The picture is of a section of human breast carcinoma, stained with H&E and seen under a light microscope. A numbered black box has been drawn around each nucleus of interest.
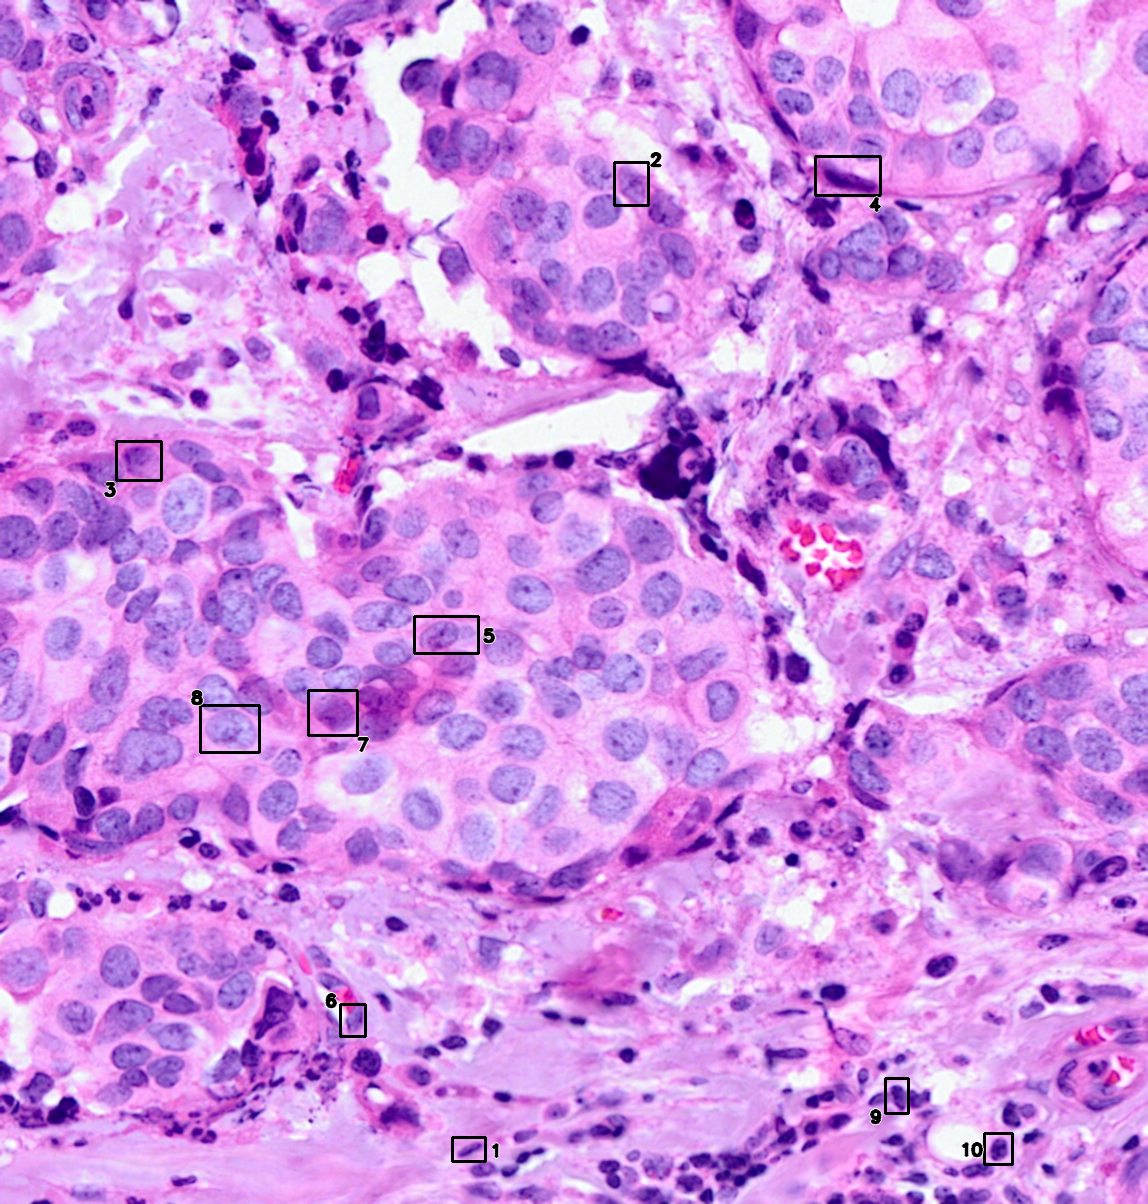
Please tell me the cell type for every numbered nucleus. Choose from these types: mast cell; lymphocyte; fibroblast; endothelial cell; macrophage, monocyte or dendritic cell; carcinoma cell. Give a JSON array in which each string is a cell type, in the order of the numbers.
["lymphocyte", "carcinoma cell", "carcinoma cell", "carcinoma cell", "carcinoma cell", "endothelial cell", "carcinoma cell", "carcinoma cell", "lymphocyte", "lymphocyte"]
